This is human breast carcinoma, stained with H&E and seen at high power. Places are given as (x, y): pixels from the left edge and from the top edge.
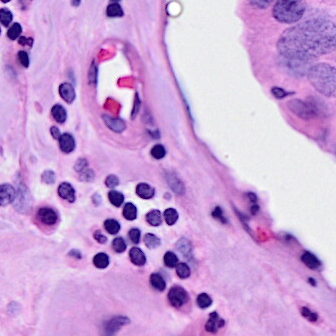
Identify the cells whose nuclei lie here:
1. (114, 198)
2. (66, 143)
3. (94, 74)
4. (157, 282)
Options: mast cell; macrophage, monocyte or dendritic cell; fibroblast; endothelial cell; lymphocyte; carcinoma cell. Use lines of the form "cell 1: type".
cell 1: lymphocyte
cell 2: lymphocyte
cell 3: endothelial cell
cell 4: lymphocyte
